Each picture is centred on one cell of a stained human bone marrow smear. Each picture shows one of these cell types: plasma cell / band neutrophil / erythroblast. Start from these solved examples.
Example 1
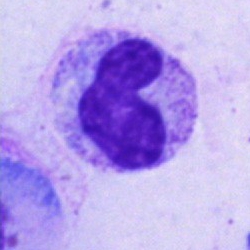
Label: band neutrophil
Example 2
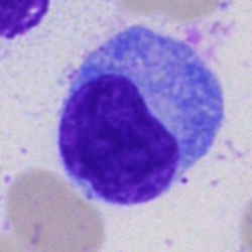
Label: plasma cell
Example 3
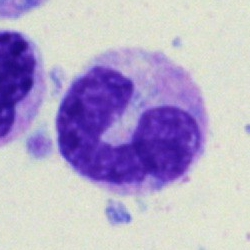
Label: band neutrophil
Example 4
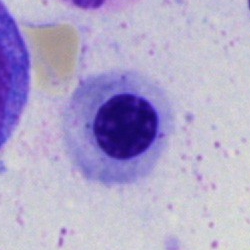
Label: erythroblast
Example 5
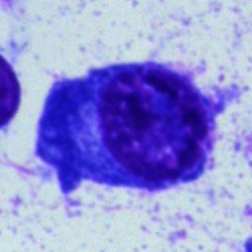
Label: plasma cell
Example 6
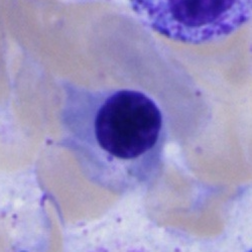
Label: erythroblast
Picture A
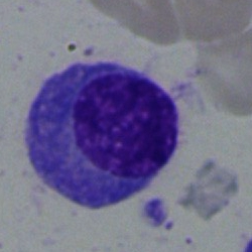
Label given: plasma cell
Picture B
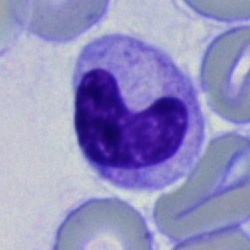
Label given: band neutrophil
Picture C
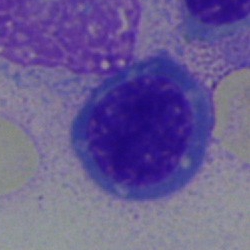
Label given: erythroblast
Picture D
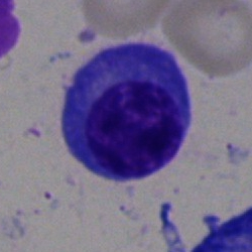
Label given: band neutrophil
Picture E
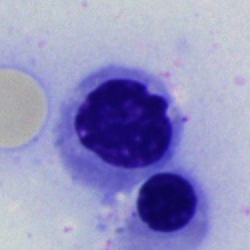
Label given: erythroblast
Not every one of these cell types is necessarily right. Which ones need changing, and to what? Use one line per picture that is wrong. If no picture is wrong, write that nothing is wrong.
D: change band neutrophil to plasma cell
